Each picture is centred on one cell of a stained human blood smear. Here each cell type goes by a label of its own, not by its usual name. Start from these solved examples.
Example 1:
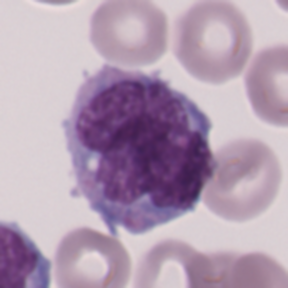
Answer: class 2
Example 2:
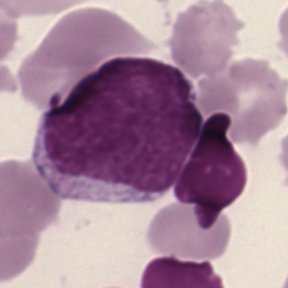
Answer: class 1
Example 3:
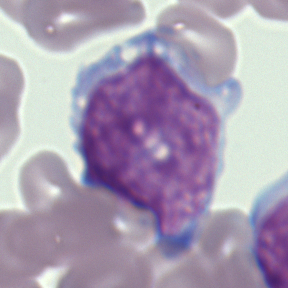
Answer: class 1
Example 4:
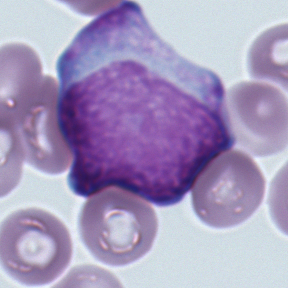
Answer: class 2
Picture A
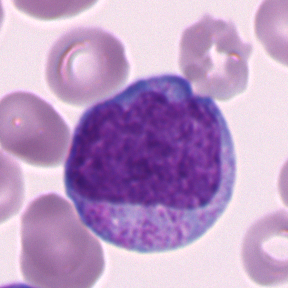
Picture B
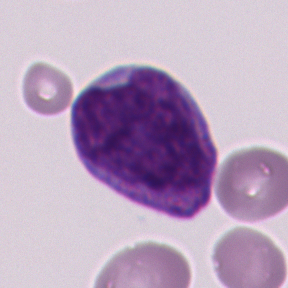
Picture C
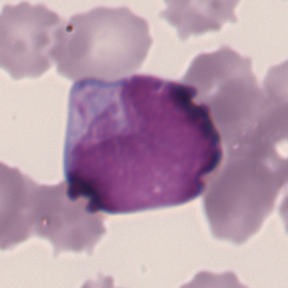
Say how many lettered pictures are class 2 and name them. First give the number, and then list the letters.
2, namely A, B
